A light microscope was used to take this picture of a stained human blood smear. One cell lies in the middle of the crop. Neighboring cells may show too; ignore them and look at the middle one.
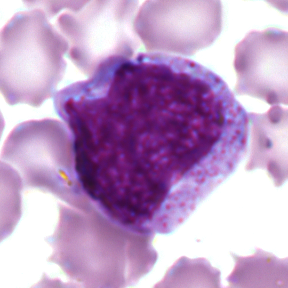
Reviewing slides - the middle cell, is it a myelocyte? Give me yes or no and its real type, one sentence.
Yes, the central cell here is a myelocyte.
